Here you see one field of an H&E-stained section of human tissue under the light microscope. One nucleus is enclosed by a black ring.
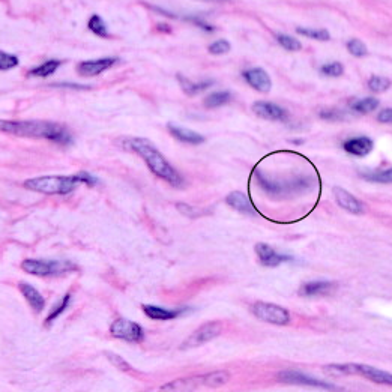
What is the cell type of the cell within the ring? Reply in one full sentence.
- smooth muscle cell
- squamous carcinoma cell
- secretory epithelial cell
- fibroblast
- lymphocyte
Just put down that the cell within the ring is a smooth muscle cell.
